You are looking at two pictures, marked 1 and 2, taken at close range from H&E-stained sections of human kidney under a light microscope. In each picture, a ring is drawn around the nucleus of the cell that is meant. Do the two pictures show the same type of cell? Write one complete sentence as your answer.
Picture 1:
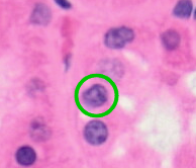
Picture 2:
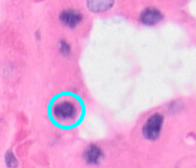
No. Picture 1 shows a proximal tubule cell, but picture 2 shows a “loop of Henle or distal tubule cell”.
